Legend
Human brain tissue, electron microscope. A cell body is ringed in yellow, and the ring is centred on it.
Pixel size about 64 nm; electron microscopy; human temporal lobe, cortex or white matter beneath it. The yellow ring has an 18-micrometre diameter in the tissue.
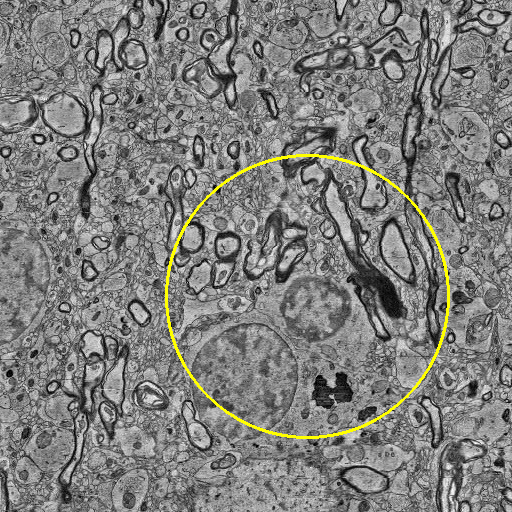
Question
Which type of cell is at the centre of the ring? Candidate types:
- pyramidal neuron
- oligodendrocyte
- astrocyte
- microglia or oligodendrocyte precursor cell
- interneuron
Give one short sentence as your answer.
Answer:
The yellow ring is centred here on an oligodendrocyte.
